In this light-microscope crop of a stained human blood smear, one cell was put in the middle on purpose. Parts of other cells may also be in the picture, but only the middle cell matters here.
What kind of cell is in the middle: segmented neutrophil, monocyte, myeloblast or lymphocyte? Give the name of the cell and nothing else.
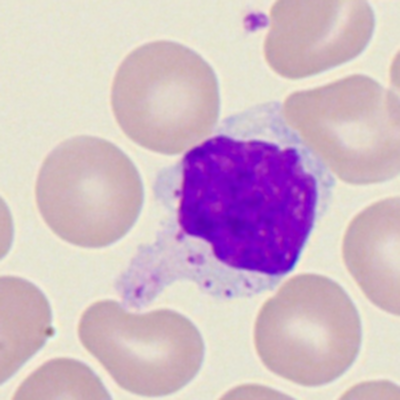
lymphocyte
